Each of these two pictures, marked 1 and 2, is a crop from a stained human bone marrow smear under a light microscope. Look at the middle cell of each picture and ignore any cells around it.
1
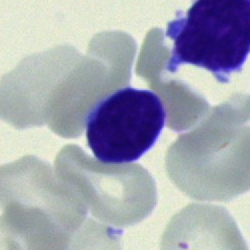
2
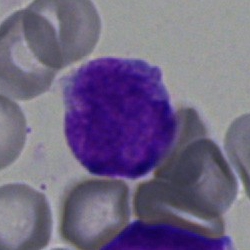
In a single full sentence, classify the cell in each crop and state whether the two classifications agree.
Yes, the central cells in both crops are lymphocytes.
